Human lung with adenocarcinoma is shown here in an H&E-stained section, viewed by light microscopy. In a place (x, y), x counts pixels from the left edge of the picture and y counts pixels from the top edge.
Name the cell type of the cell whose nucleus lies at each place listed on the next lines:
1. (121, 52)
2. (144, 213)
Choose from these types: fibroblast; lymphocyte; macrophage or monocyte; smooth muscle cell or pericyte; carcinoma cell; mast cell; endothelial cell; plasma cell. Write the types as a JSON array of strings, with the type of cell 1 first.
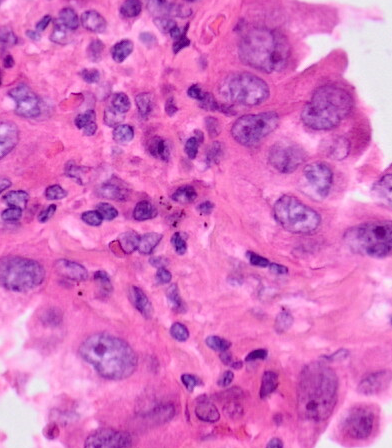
["lymphocyte", "plasma cell"]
